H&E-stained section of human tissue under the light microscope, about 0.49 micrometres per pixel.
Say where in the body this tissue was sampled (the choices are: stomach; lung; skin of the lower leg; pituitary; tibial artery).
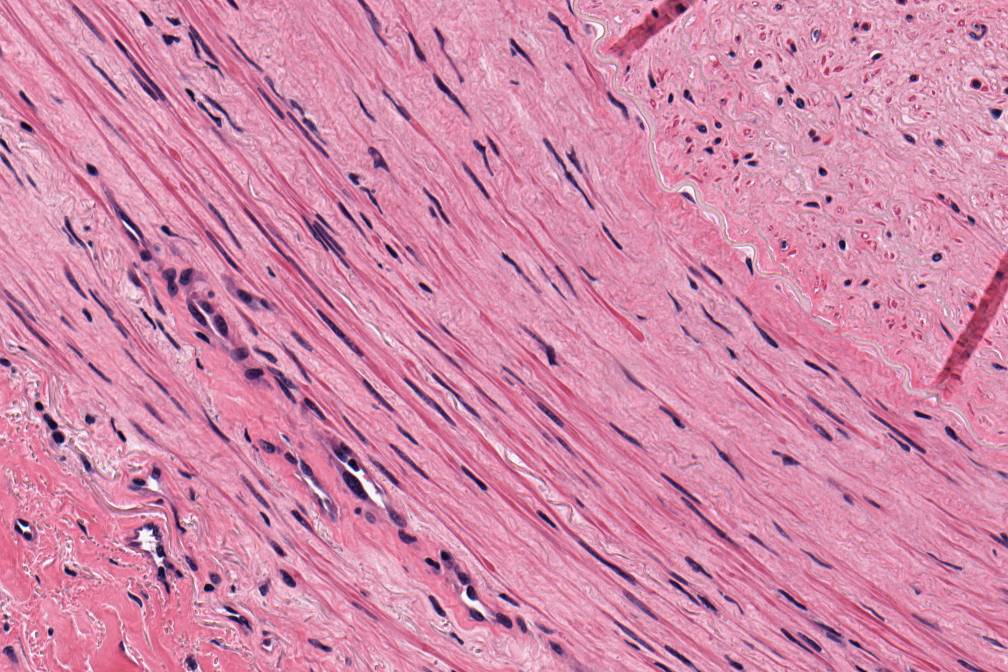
tibial artery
